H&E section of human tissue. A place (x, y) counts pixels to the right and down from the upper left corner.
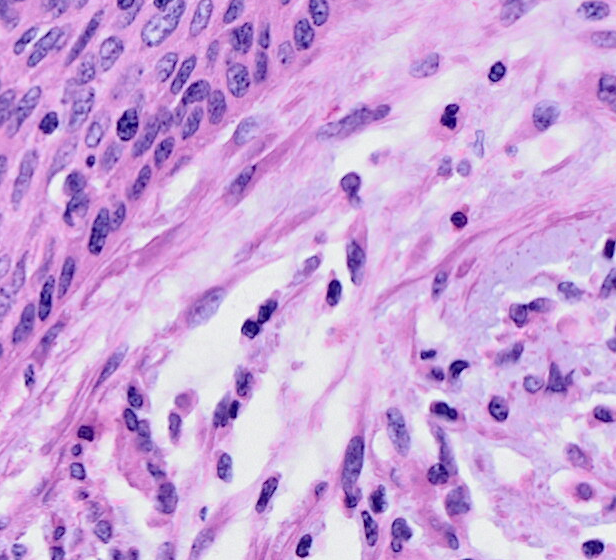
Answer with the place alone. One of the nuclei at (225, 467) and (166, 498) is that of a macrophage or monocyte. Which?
(166, 498)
